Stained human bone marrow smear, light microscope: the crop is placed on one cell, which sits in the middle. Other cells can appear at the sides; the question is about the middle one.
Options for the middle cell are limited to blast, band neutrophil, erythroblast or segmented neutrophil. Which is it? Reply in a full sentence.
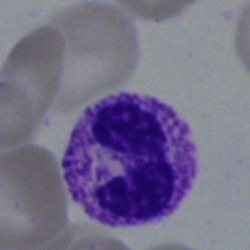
The crop centres on a single cell, and that cell is a band neutrophil.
